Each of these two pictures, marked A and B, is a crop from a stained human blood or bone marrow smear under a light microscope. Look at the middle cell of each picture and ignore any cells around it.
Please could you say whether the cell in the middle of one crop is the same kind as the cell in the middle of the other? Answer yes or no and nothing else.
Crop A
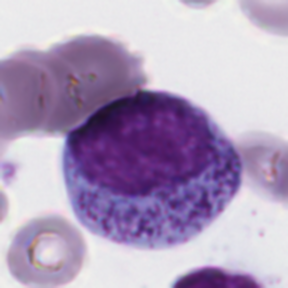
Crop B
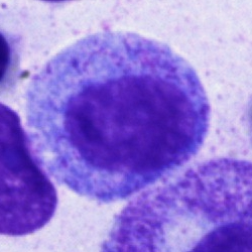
no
